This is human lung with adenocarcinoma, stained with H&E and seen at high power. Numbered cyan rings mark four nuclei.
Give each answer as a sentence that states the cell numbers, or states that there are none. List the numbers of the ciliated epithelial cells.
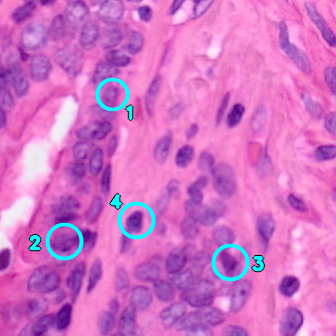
In short, the numbered cells 1, 2 and 3 are ciliated epithelial cells.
